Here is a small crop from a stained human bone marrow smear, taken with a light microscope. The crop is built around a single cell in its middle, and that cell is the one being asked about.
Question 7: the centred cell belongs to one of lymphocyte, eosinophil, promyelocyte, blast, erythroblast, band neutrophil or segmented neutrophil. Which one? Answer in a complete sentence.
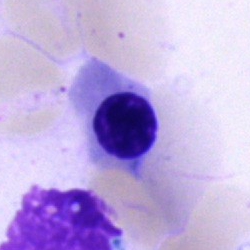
By classification, the middle cell of this crop is an erythroblast.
